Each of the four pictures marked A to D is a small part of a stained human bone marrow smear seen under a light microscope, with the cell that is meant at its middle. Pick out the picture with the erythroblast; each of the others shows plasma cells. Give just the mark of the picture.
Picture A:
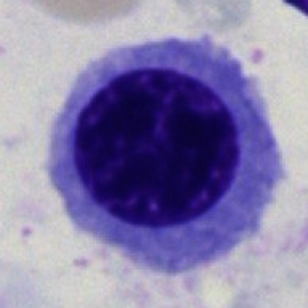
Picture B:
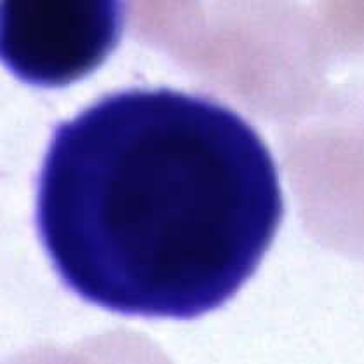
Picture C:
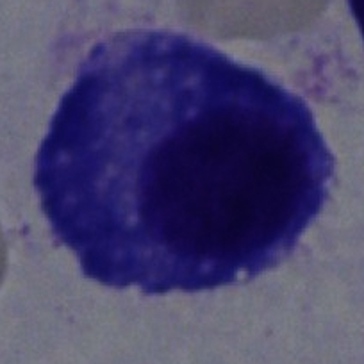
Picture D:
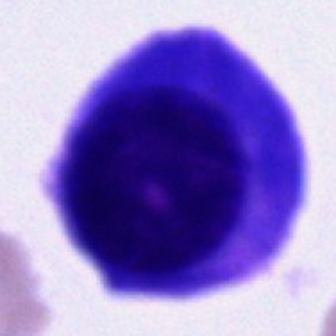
A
